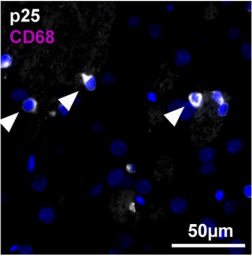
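Mature oligodendrocytes are seen as small cells with a bright white cytoplasmic rim wrapped closely around a round blue nucleus. They lie singly, scattered among many other blue nuclei, and hardly any purple cells are present.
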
